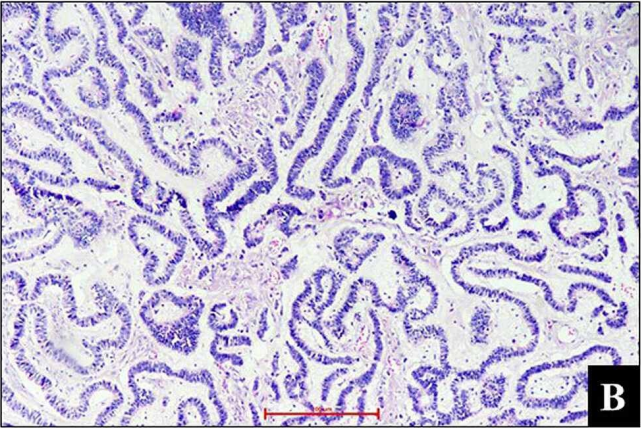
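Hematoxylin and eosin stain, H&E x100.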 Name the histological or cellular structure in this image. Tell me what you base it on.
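Narrow ribbons of dark-nucleated cells wind and branch through the field. The ribbons join one another and are separated by pale loose stroma. That points to this answer: anastomosing cords pattern.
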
